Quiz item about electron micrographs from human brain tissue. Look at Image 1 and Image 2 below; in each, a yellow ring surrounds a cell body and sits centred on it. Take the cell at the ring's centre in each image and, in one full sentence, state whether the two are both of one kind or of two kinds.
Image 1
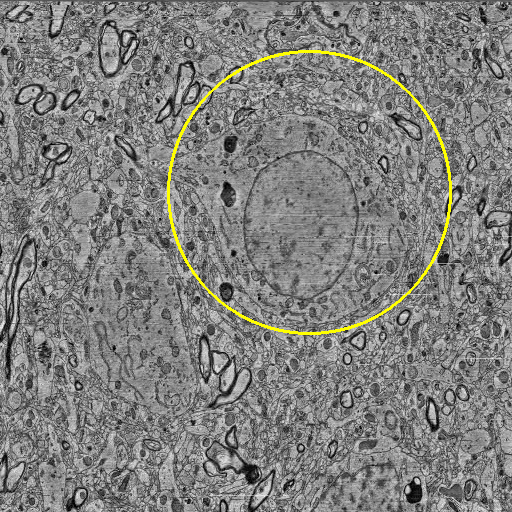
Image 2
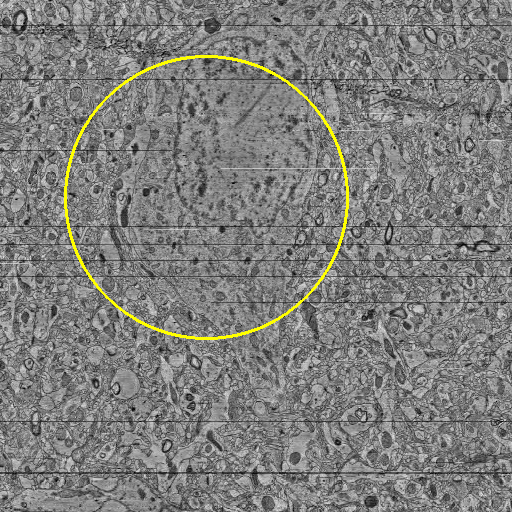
In Image 1 and Image 2, the cells at the ring centres are of two kinds.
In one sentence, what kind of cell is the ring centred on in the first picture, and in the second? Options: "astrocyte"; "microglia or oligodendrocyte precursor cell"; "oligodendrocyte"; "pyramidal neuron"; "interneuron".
The cell at the centre of the second ring is an interneuron; the first ring's cell is a pyramidal neuron.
